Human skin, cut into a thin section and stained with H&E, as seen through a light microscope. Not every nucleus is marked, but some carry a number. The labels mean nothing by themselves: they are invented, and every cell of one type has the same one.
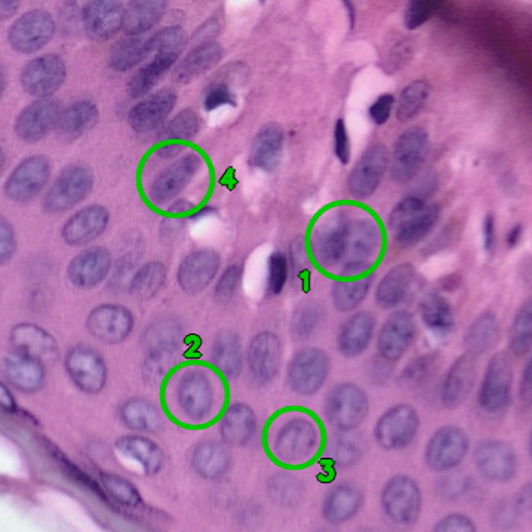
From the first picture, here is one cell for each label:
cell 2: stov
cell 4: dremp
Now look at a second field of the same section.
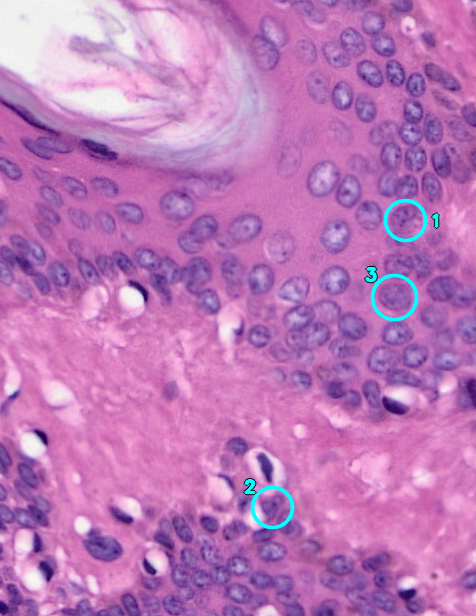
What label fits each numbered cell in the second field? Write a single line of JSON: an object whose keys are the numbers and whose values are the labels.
{"1": "dremp", "2": "dremp", "3": "stov"}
